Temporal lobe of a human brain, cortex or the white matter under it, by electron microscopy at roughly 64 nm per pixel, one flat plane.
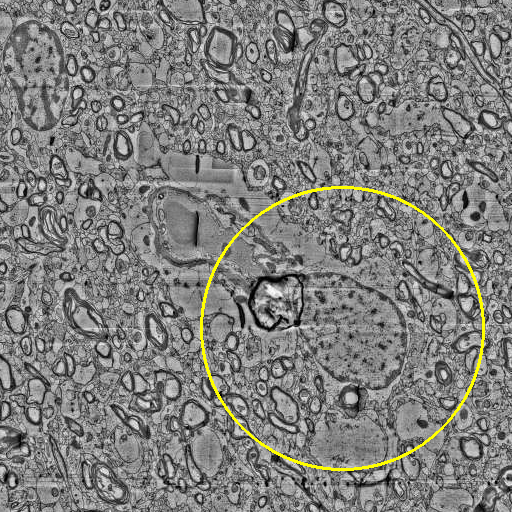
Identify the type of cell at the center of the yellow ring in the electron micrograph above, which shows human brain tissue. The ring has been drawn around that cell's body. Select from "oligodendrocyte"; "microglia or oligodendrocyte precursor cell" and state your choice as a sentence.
The yellow ring is centered on the body of a microglial cell or oligodendrocyte precursor cell.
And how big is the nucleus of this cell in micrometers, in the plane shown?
Approximately 9 by 6 micrometers in this plane.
